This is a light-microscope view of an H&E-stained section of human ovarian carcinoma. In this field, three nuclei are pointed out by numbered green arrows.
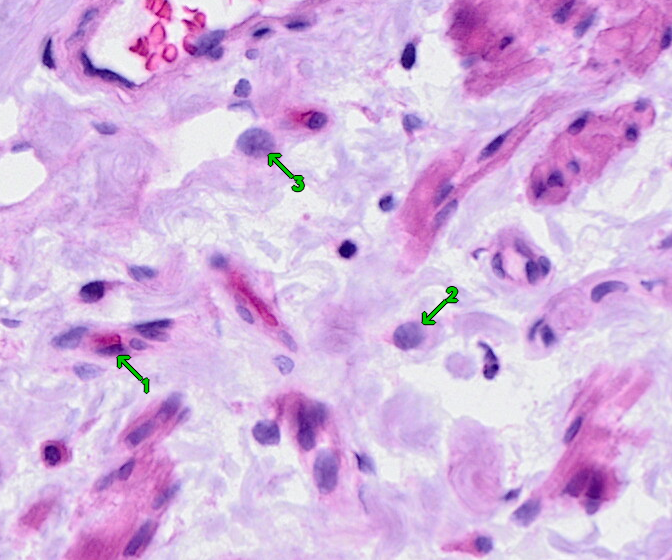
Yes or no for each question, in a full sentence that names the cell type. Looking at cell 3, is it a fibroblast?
No, the nucleus numbered 3 belongs to an endothelial cell, not a fibroblast.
